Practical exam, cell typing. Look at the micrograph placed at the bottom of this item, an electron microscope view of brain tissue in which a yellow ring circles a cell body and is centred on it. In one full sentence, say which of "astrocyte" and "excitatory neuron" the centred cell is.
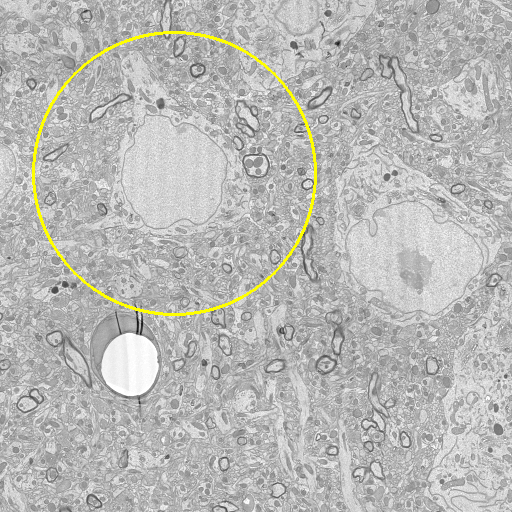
Given the options, an excitatory neuron fits the cell whose body the yellow ring is centred on.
